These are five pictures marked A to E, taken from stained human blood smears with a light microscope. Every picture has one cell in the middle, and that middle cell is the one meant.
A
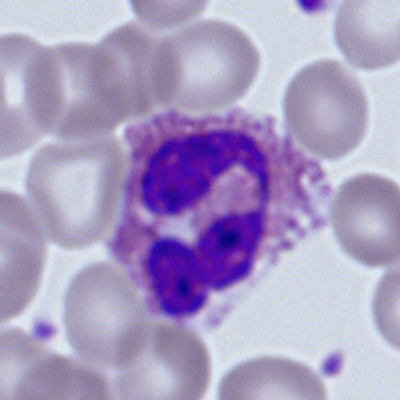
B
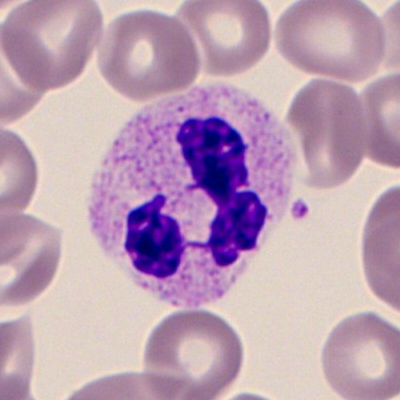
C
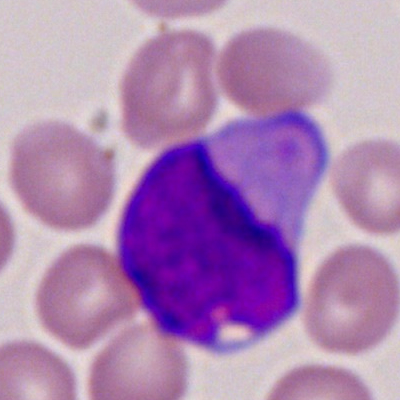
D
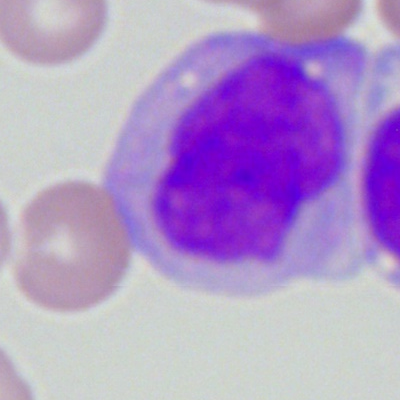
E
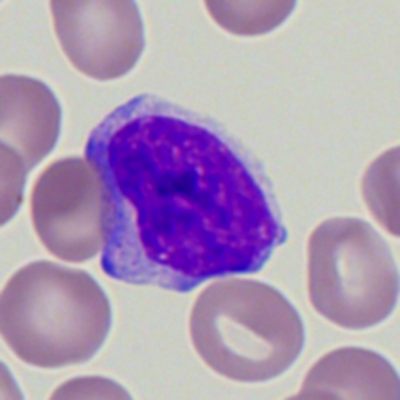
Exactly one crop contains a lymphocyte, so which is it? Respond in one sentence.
Crop E represents a lymphocyte, while the other crops do not.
